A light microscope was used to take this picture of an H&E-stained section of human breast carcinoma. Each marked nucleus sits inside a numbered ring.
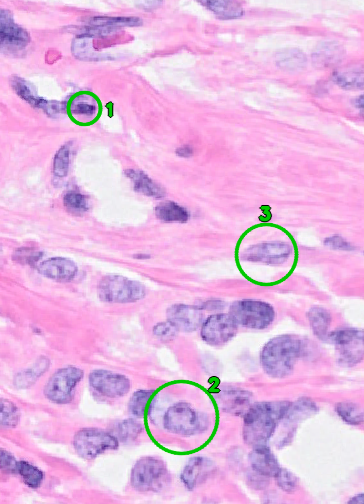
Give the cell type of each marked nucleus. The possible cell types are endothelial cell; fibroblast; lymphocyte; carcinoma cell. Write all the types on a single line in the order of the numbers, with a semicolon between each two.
endothelial cell; carcinoma cell; fibroblast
